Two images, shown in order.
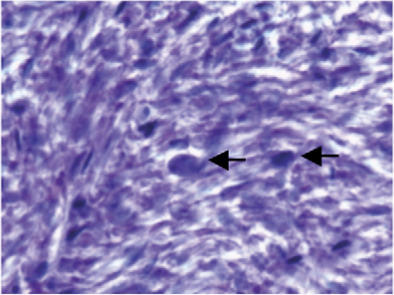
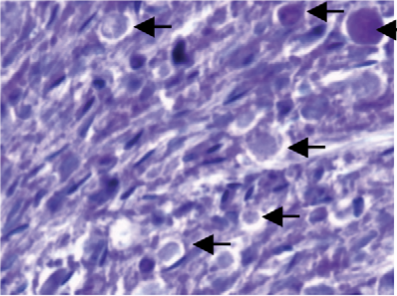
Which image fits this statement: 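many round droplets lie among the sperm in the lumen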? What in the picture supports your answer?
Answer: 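The second image. Second image: numerous round pale or magenta bodies are scattered among the sperm heads. First image: the lumen holds mostly elongated sperm heads and tails with few round bodies.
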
